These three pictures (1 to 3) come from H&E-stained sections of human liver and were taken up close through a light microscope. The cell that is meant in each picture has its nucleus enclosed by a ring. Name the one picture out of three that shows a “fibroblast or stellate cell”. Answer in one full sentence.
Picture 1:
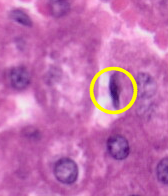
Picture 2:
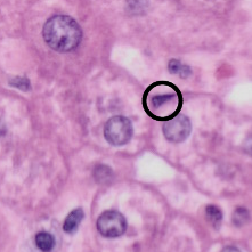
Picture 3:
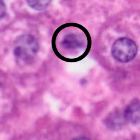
Picture 2 is the one that shows the “fibroblast or stellate cell”.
